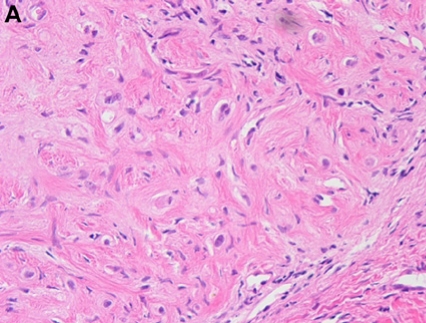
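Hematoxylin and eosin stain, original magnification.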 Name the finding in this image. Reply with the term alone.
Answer: Epithelioid differentiation.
